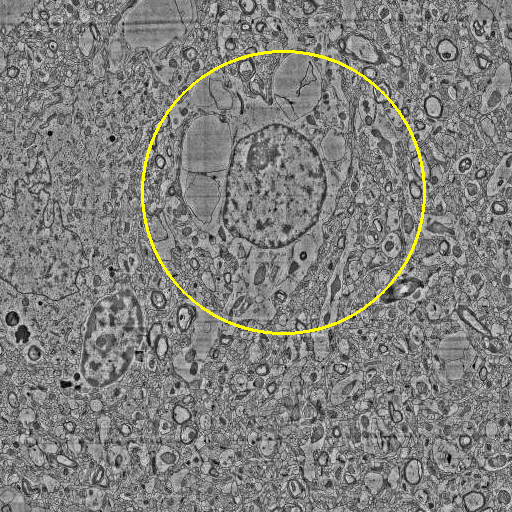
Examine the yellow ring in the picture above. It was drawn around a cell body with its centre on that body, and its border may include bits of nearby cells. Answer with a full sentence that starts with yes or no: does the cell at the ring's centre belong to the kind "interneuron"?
No, the cell at the heart of the ring shown in the image is a different kind of cell.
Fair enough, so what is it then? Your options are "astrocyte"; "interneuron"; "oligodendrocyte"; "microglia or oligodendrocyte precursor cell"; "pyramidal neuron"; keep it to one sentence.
The cell in question here is an astrocyte.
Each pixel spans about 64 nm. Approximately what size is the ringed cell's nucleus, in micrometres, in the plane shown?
Roughly 8 by 6 micrometres is the size of the nucleus in this plane.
